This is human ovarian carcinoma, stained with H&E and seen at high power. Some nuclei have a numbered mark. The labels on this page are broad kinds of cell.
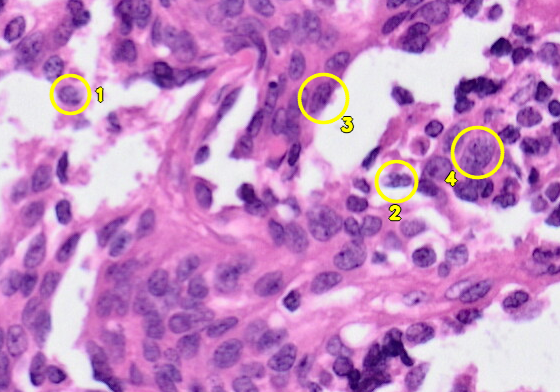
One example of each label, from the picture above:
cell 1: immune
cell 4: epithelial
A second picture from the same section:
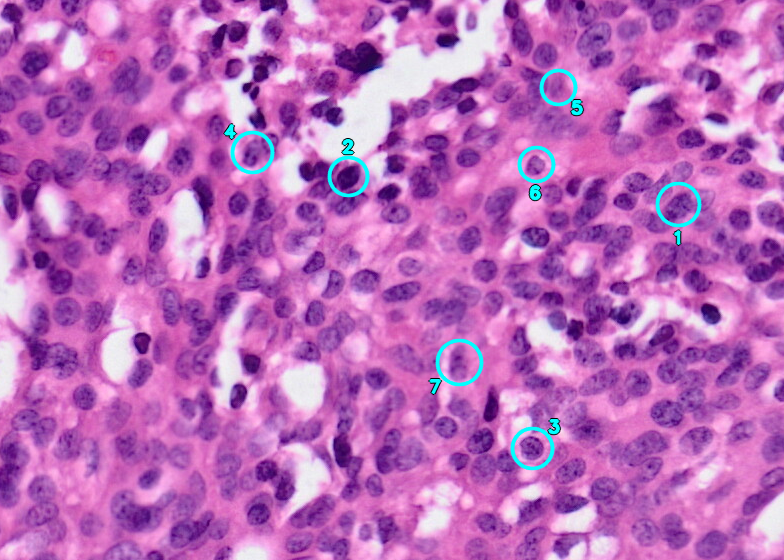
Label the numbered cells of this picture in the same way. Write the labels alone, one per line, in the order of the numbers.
epithelial
epithelial
immune
immune
epithelial
immune
immune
